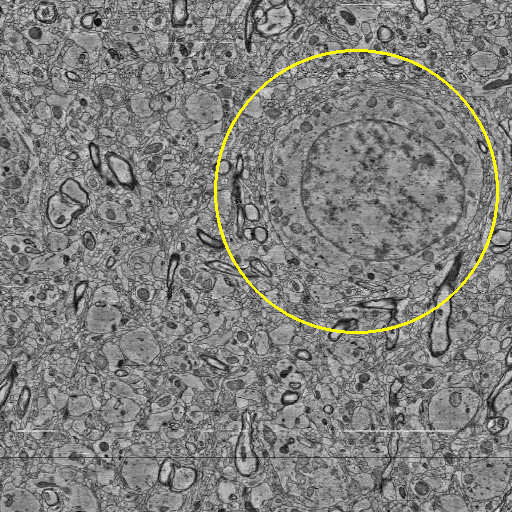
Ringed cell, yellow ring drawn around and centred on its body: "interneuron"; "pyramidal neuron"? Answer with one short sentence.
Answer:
This ringed cell is an interneuron.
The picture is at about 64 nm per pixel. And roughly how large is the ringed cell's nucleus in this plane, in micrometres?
In this plane, the nucleus measures approximately 10 micrometres across.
